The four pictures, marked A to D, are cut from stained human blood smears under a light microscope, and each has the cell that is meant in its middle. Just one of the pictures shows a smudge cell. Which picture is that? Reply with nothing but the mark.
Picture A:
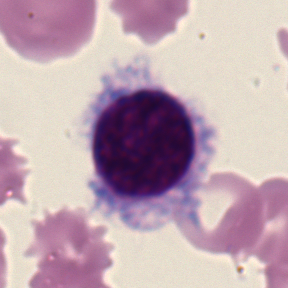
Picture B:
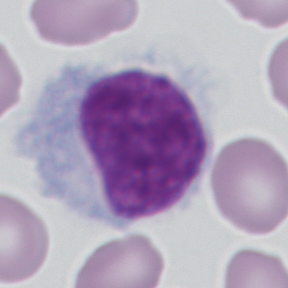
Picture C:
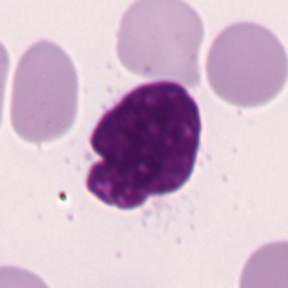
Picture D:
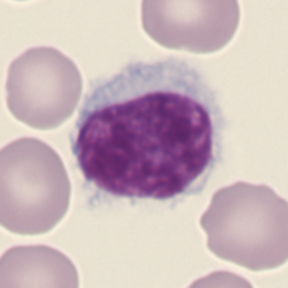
C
